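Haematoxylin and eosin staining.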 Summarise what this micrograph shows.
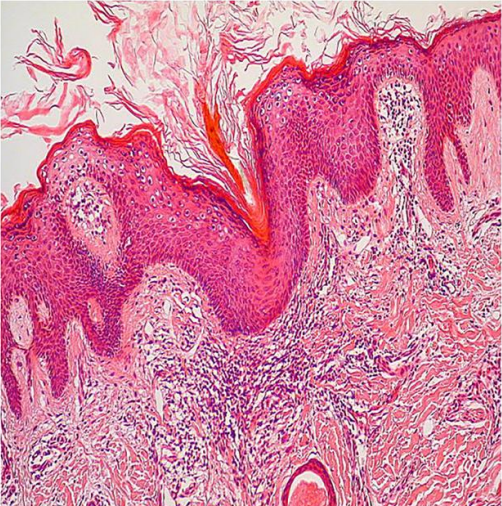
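Here we see skin whose epidermis is thickened and covered by a compact, bright red cornified layer, with loose flakes of keratin peeling away at the upper left. Below, the dermis is made of pink collagen bundles, and scattered through it, especially just under the epidermis and around small vessels, are groups of small dark round nuclei, lymphocytes forming an infiltrate. Near the bottom a round vessel with a thick wall holds pink contents.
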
